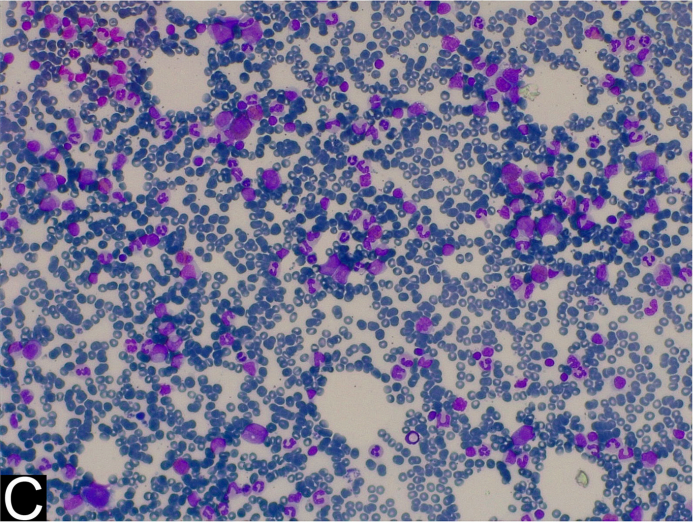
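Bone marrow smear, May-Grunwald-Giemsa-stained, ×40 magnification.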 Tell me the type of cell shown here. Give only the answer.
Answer: Myeloid precursors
